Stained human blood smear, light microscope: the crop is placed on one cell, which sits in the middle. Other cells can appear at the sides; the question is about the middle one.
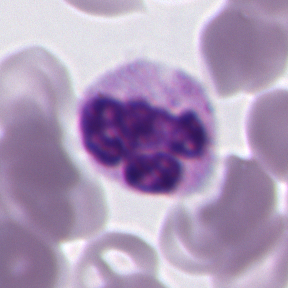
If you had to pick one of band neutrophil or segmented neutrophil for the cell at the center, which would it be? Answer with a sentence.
Present in the middle of the crop is a segmented neutrophil.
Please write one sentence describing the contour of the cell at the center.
No surface projections are present; the cell outline is smooth.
